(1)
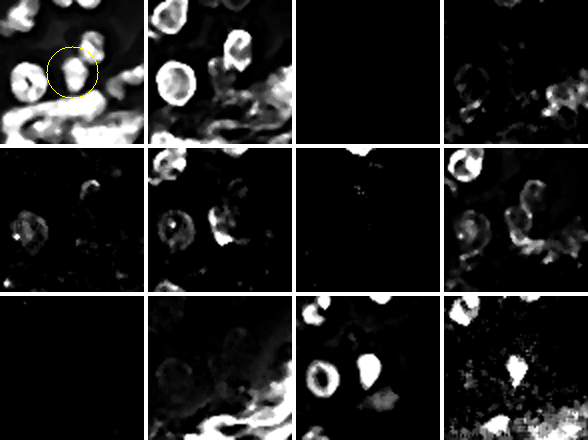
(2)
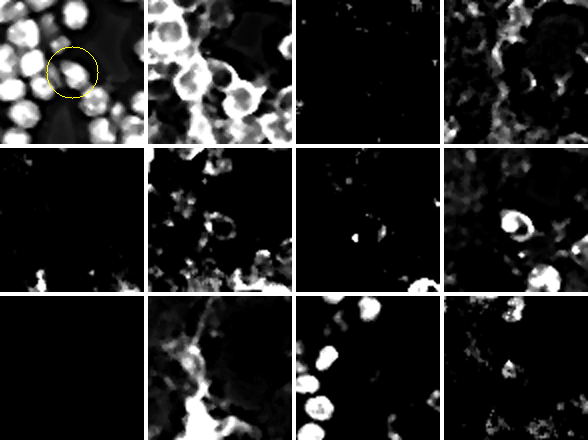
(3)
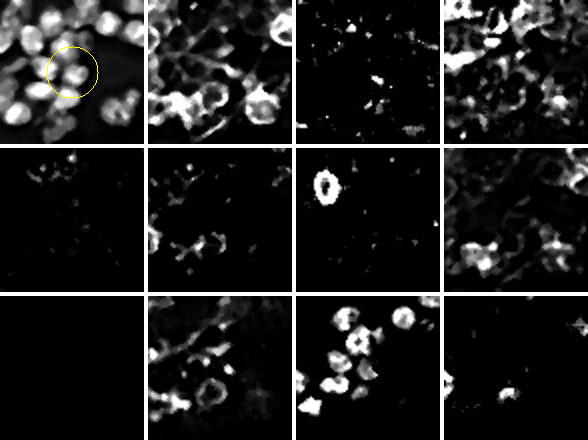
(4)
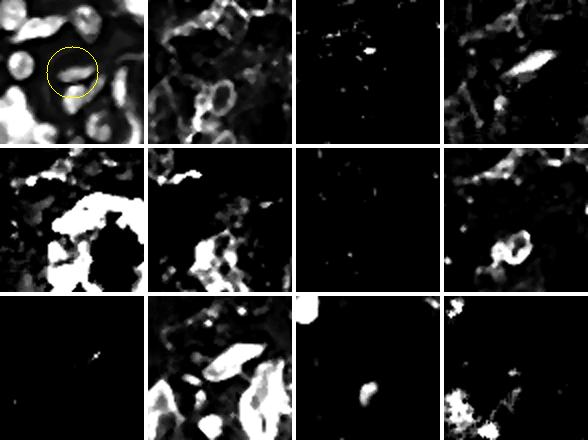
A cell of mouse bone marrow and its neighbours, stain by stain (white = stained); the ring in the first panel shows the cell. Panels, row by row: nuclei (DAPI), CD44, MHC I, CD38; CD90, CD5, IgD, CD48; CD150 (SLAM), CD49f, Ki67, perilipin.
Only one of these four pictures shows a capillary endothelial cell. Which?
Picture 4.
